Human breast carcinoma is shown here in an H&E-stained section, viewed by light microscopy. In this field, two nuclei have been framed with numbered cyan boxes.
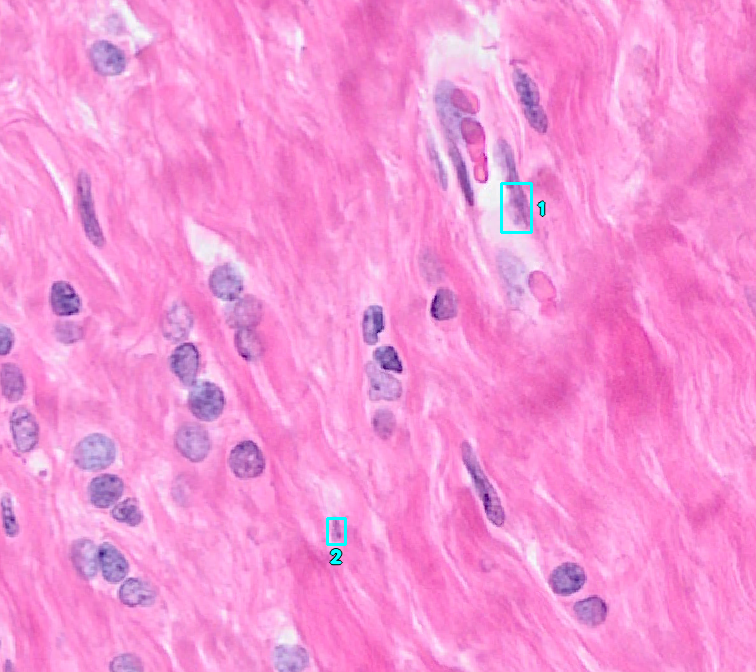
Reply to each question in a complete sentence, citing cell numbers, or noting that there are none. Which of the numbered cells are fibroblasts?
Only the cell numbered 2 is a fibroblast; none of the others is.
